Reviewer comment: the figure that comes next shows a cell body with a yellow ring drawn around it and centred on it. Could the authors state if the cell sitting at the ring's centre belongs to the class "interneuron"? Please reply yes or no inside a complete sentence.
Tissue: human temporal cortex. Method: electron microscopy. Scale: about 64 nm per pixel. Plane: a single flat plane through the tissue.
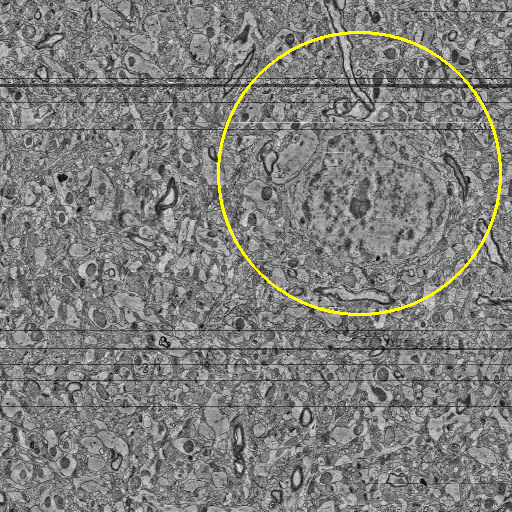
Yes, in the figure, the cell at the ring's centre belongs to that class.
